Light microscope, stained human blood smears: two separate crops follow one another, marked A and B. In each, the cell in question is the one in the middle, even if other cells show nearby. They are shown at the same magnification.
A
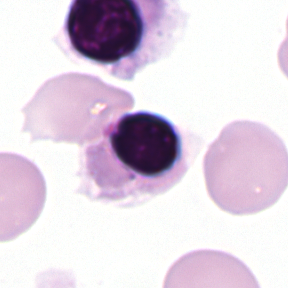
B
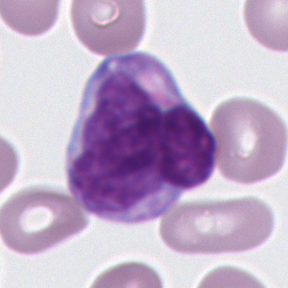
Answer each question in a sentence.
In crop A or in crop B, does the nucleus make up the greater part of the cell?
The nucleus fills more of the cell in crop B than in crop A.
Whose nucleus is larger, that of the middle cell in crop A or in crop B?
It is the nucleus in crop B, about 4 times as large in area as the one in crop A.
